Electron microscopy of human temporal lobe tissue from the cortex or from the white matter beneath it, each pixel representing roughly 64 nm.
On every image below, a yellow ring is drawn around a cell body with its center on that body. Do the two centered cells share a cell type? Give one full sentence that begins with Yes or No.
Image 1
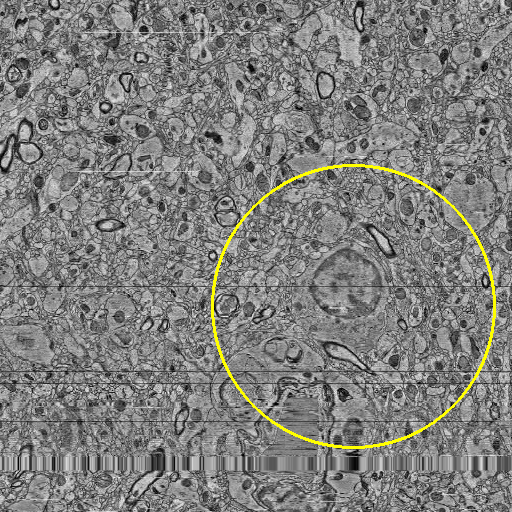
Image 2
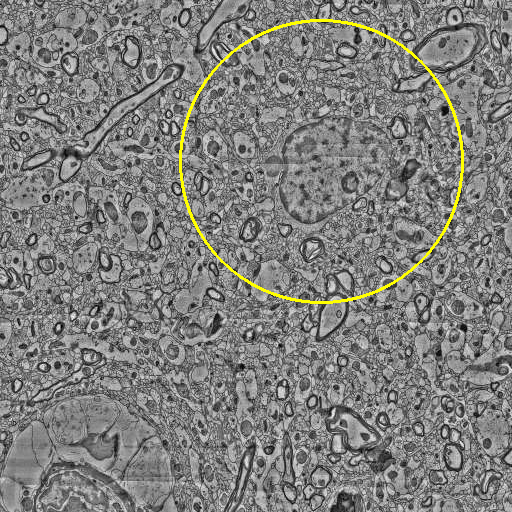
Yes, the centered cells in the two images are of a single cell type.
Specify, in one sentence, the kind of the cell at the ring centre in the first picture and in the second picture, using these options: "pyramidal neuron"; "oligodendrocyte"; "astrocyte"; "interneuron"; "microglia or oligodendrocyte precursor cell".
The second cell is an oligodendrocyte, just as the first is.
